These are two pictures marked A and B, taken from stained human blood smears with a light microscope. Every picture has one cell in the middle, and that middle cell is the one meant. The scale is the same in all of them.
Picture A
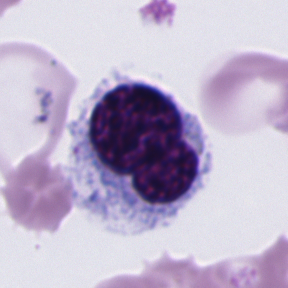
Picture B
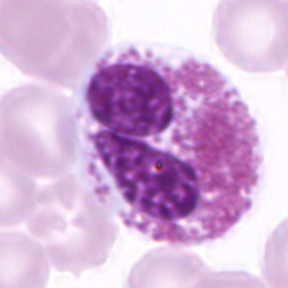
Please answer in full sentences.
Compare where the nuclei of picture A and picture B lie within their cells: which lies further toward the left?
Seen within its cell, the nucleus in picture B lies further toward the left.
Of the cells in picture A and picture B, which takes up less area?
Picture A holds the smaller cell, since the cell in picture B covers about 1.5 times as much area.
